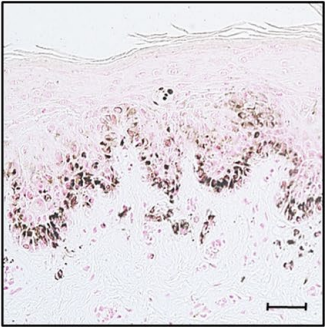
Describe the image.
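Dense black-brown granules are packed into the lowest cell layers of the epidermis, outlining the wavy rete ridges along the whole junction with the dermis. The upper epidermal layers are largely free of pigment and show pale pink cells with faint nuclei, topped by a thin, flaking cornified layer. The dermis below contains scattered small, elongated pink nuclei among loosely arranged fibres. A few isolated dark pigmented cells lie within the upper epidermis.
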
